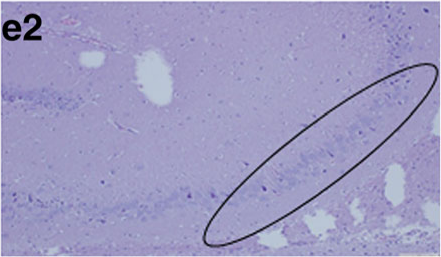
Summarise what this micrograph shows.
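This is a section of the hippocampus in which the pyramidal cell layer runs as a diagonal band of purple-stained neurons across pale lilac neuropil. Within the encircled stretch the band is thin and loosely packed, with gaps between the remaining neurons, consistent with pyramidal neuronal loss. The surrounding neuropil is finely textured and holds scattered small nuclei and thin vessel profiles. Several round clear spaces lie in the tissue, especially toward the lower part of the field.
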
